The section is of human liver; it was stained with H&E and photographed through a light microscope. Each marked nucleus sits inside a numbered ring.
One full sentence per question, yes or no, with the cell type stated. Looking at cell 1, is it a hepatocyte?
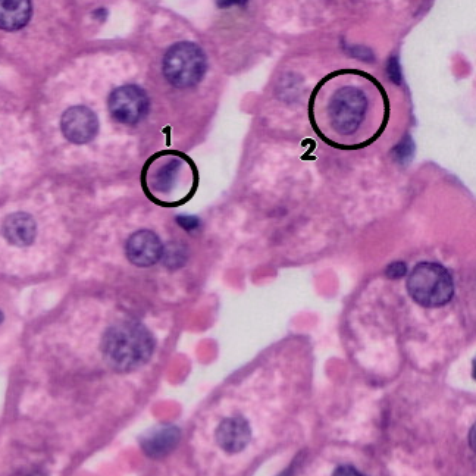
No, the cell under number 1 is an endothelial cell instead of a hepatocyte.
